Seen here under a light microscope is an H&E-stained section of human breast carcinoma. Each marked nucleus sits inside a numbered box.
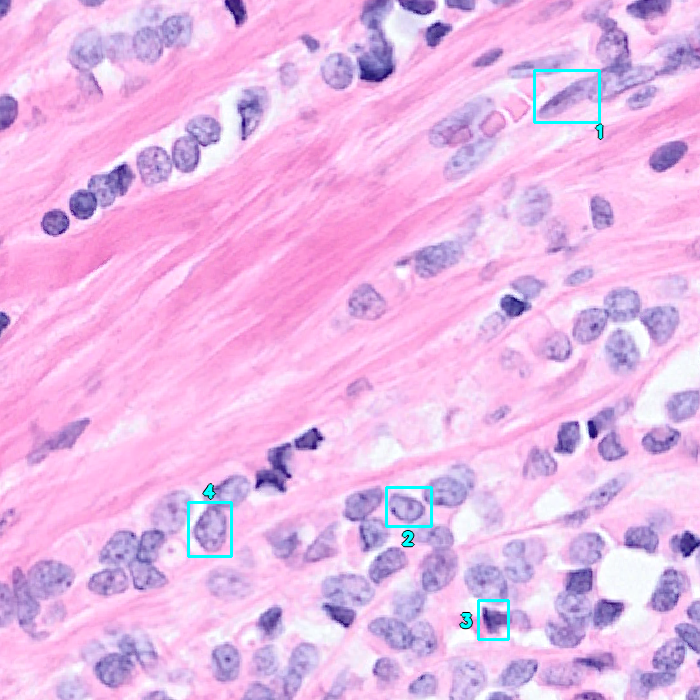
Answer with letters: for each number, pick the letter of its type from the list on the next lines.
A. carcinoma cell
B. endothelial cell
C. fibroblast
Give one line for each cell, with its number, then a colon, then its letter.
1: B
2: A
3: A
4: A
